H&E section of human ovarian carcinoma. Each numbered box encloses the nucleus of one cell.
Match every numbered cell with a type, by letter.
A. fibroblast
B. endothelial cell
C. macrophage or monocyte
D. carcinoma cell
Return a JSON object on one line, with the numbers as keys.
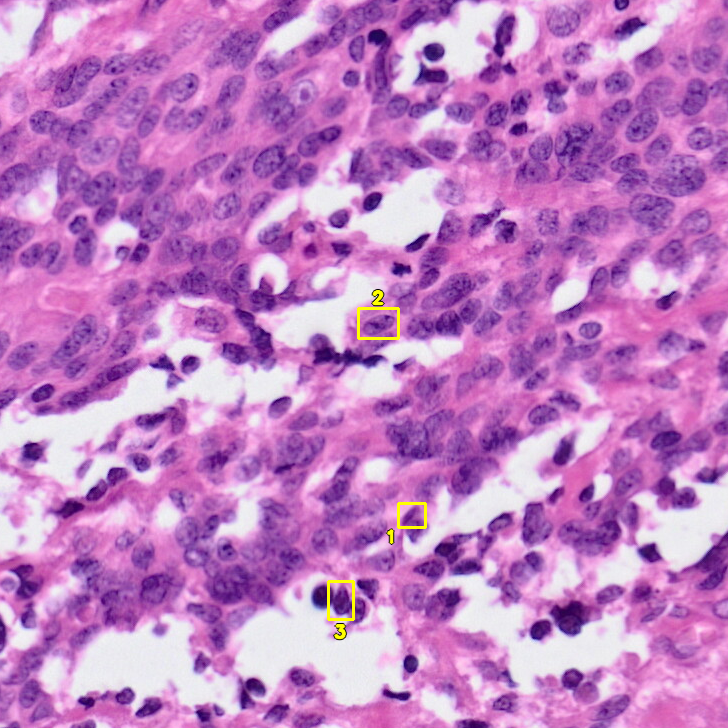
{"1": "D", "2": "C", "3": "D"}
